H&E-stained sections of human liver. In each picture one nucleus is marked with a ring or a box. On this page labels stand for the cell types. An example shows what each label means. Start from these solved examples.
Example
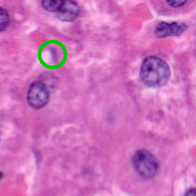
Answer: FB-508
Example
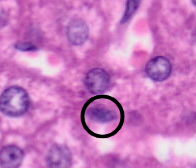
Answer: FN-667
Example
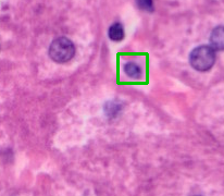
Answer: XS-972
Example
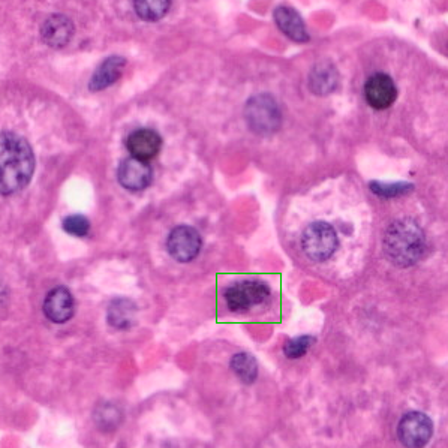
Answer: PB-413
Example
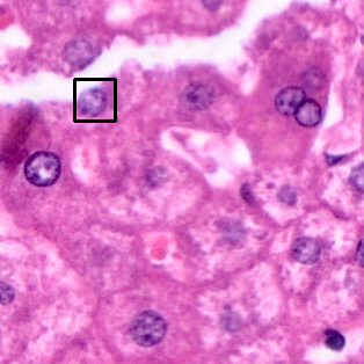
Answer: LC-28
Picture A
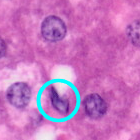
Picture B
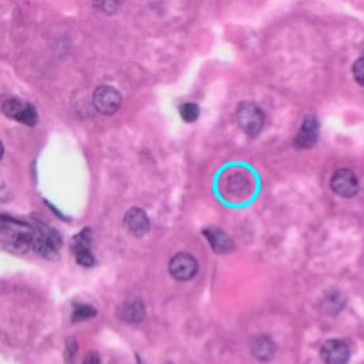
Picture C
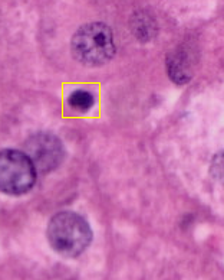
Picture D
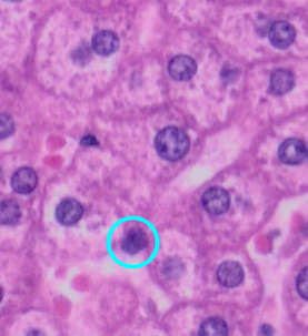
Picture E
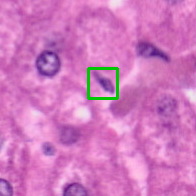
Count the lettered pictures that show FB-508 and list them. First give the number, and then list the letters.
3: A, D, E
